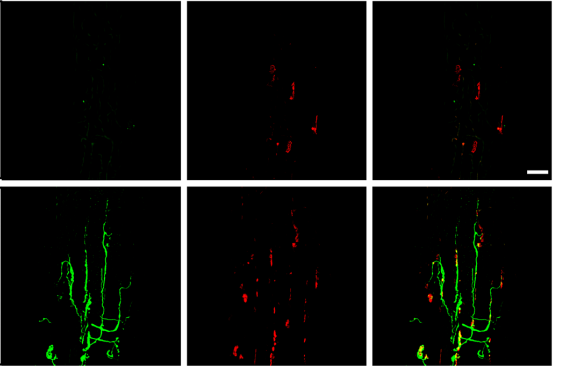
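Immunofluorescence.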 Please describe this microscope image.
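In the lower row, long green fibres run lengthwise and branch, with their endings reaching small elongated red plaques, where the merged image turns yellow. In the upper row, green fibres are sparse and the red plaques mostly lie alone.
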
